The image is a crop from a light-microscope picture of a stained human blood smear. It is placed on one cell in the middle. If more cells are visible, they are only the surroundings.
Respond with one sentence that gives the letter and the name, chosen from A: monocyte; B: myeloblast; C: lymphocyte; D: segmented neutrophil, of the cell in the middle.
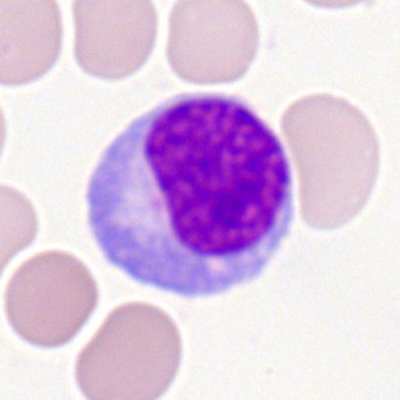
Option C is correct here, and the cell in the middle is a lymphocyte.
